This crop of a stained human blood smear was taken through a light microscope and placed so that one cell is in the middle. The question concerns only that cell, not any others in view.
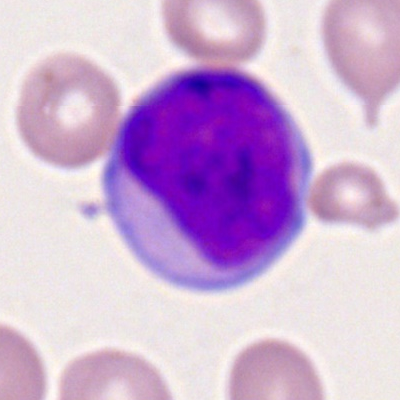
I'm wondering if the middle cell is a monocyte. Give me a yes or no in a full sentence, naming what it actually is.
No, it is not a monocyte that lies in the middle but a myeloblast.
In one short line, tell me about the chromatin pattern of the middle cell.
The chromatin remains finely textured, with no coarse clumps to speak of.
